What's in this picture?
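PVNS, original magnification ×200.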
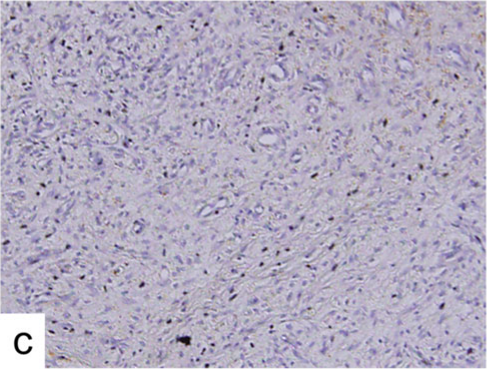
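This cellular tissue is made up of sheets of small spindle-shaped and oval mononuclear cells with pale purple nuclei, and no multinucleated giant cells are present. The cells lie densely packed in a loose, somewhat streaming arrangement, with a few small vessel-like spaces. Scattered small dark brown dots are seen among the cells, and faint brownish tinge appears in places.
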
